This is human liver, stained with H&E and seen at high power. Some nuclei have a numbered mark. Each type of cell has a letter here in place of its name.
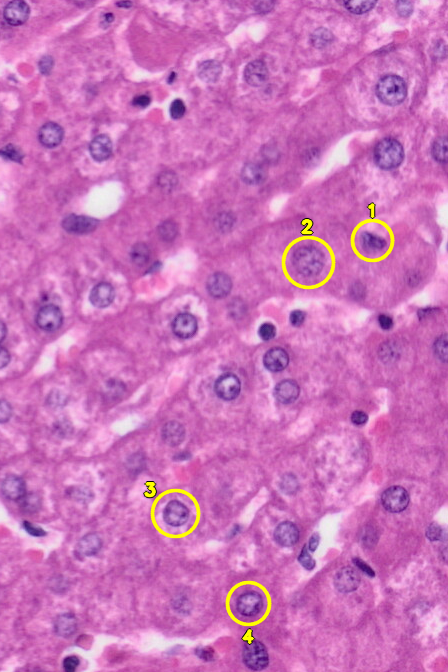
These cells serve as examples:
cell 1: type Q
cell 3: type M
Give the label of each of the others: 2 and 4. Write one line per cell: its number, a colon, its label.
2: type M
4: type M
